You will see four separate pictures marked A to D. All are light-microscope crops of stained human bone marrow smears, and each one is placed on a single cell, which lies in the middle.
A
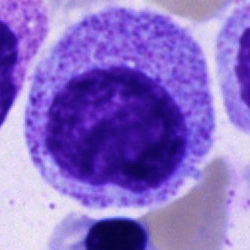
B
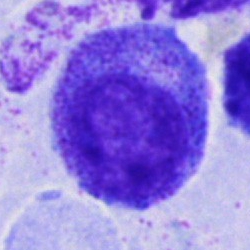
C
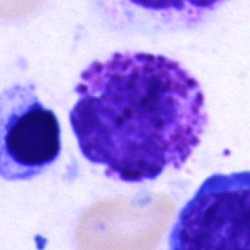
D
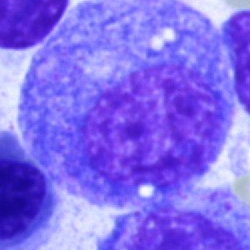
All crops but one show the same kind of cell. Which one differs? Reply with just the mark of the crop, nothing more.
C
